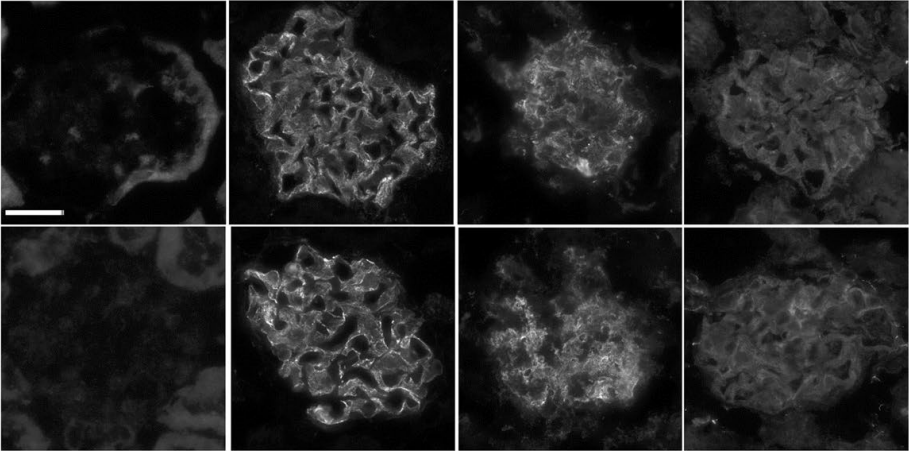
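In three of the columns the glomerular tuft is brightly outlined by a lacy, convoluted network of bright lines that follows the looped capillaries, with dark lumina between them. The surrounding tubules stay faint. No single nuclei can be clearly resolved at this scale. Upper and lower rows look broadly alike in pattern.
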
